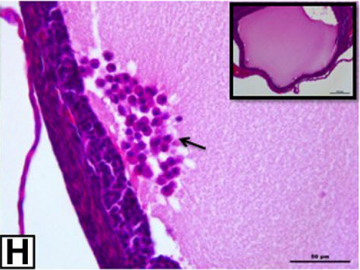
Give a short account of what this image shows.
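The wall of a large cystic ovarian follicle is seen, with a thin granulosa layer and degenerating granulosa cells shed into the antrum. On the left, elongated flattened cells of the outer follicle wall run in parallel bands. Inside them lies a thin layer of granulosa cells with dark purple nuclei, only a few cells deep. Next to this layer, a cluster of small rounded cells with dense, dark, condensed nuclei floats loose in the pale pink, finely granular antral fluid, which fills most of the field. No oocyte or cumulus is visible in this wall.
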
